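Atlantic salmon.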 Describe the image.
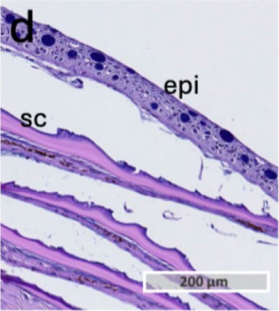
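This is fish skin with a thin epidermis in which mucous cells are scattered. The epidermis is a narrow band of pale lilac epithelial cells; among them lie rounded cells, some filled with dark blue-purple material and others appearing as pale, empty-looking round spaces. These mucous cells are spaced apart rather than crowded. Below the epidermis lie long, pink-staining scales arranged in overlapping parallel sheets, with thin dark brown pigment along some of them, and clear spaces separating the layers of the section.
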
